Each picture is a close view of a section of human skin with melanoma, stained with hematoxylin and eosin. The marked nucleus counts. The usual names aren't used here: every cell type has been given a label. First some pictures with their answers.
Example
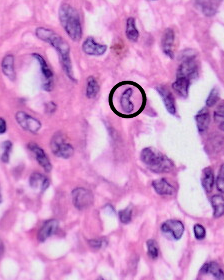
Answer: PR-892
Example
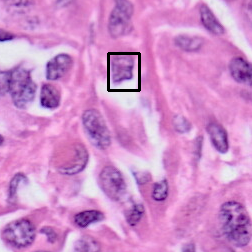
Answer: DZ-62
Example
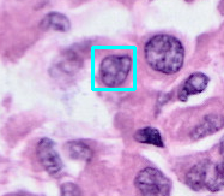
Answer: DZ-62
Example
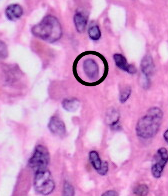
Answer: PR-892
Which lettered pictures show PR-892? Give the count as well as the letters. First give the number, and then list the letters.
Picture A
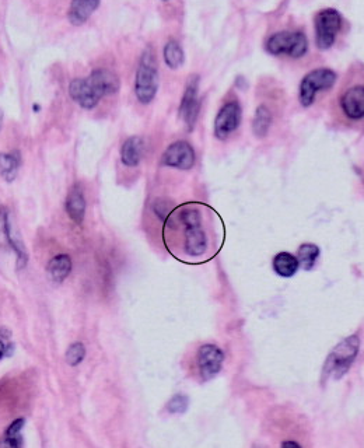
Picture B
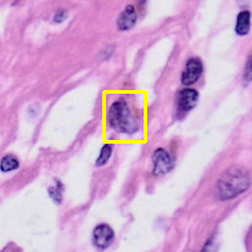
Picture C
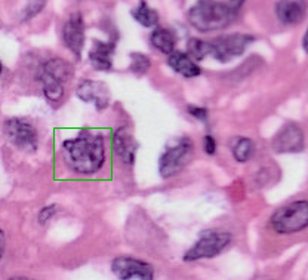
2, namely A, B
